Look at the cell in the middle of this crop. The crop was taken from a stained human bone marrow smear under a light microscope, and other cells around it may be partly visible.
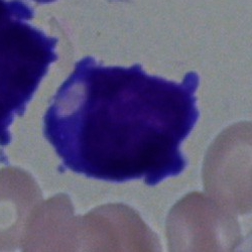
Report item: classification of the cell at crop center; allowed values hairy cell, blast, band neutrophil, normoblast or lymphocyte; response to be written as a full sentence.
The cell at the centre of the field is a blast.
